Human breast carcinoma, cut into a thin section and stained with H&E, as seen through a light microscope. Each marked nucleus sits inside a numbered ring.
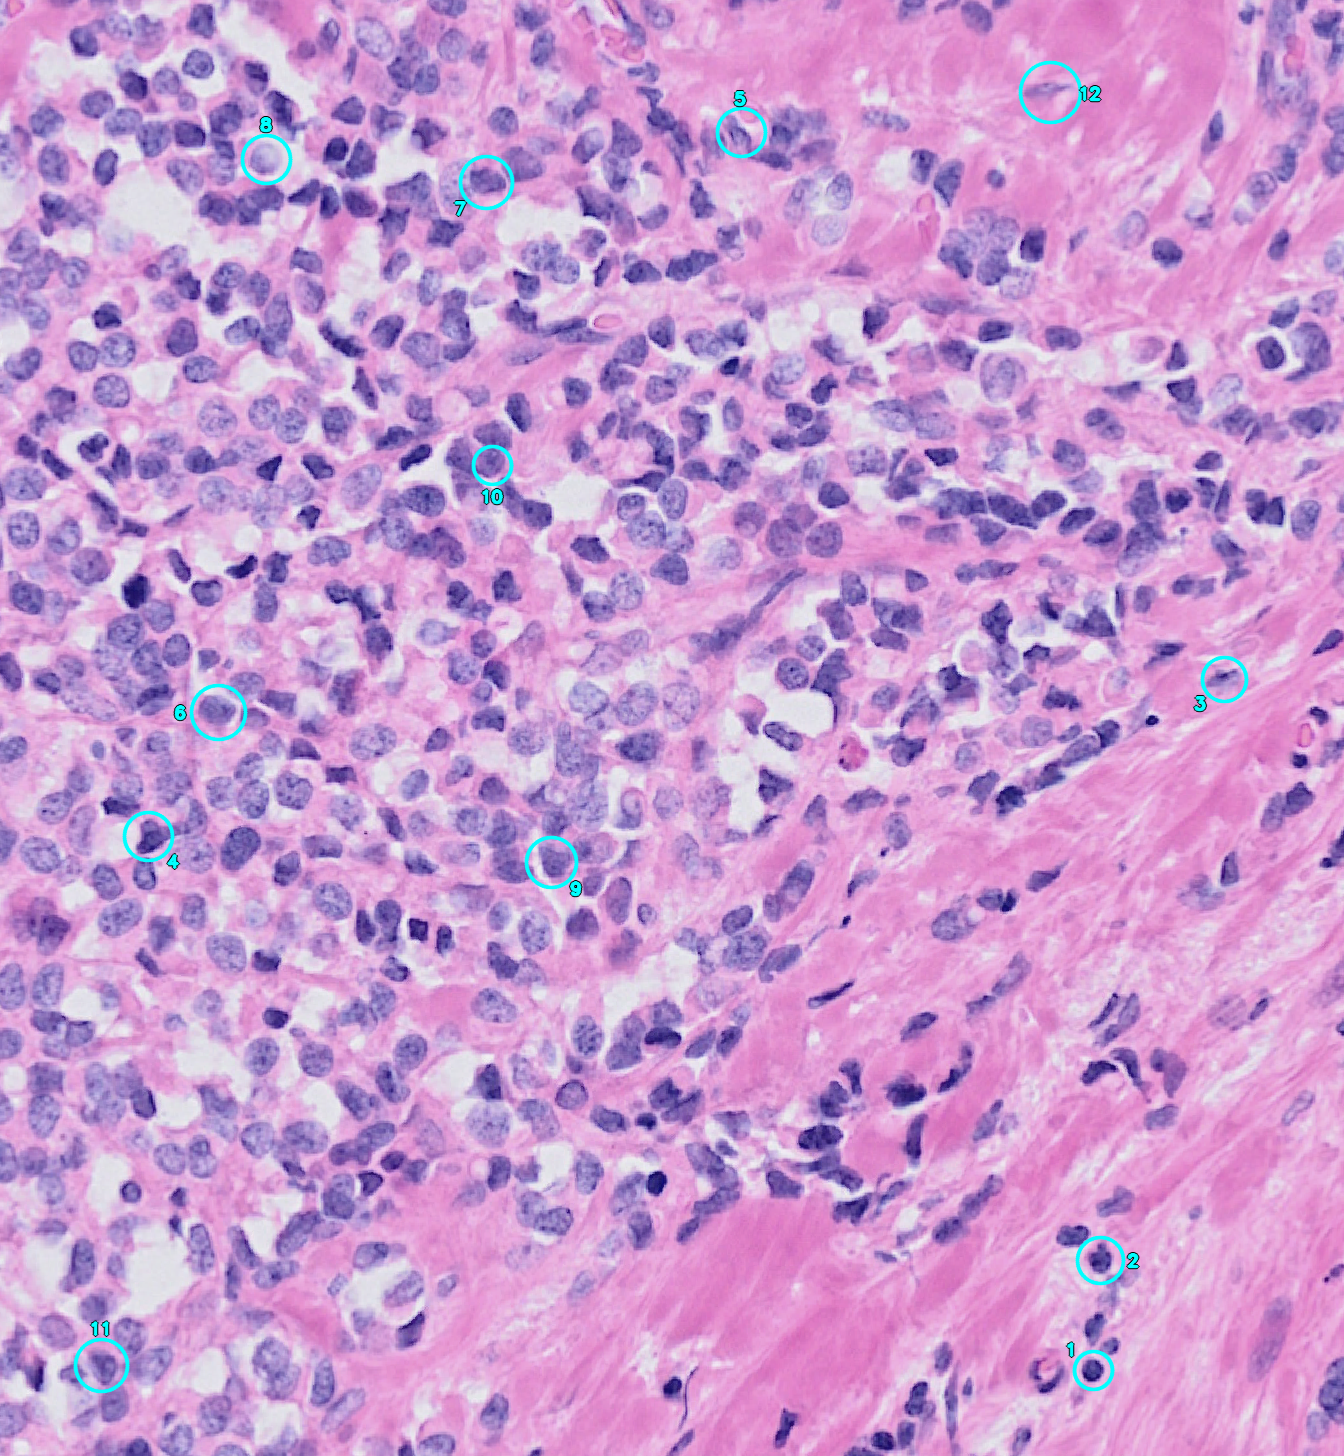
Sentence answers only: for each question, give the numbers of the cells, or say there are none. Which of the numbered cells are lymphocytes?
The numbers 1 and 2 mark cells that are lymphocytes.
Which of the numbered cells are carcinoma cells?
By cell type, the cells numbered 4, 6, 7, 8, 9, 10 and 11 are carcinoma cells.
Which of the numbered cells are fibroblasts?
The cells numbered 3 and 12 are identified as fibroblasts.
